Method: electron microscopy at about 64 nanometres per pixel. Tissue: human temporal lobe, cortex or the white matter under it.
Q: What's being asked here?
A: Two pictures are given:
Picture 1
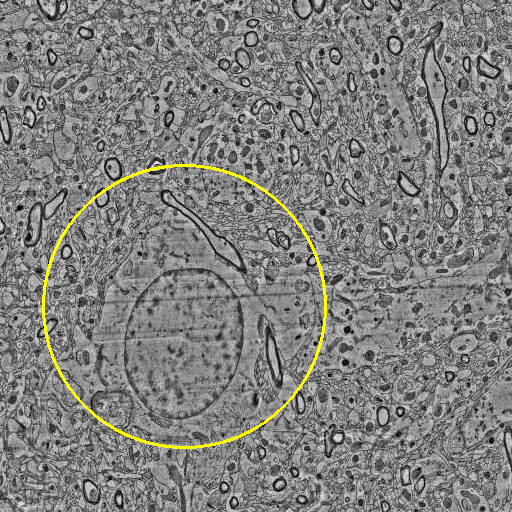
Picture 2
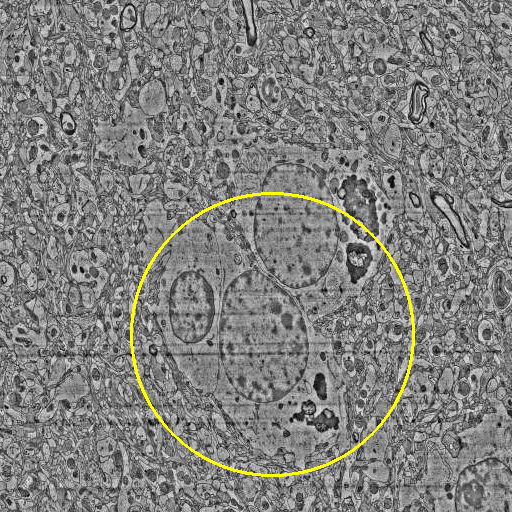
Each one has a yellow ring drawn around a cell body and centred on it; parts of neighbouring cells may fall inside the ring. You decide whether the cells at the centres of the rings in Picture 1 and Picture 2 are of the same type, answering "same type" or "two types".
same type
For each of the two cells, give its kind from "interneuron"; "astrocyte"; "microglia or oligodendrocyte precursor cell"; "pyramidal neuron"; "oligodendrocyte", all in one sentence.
In each of the two pictures, the ringed cell is an astrocyte.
